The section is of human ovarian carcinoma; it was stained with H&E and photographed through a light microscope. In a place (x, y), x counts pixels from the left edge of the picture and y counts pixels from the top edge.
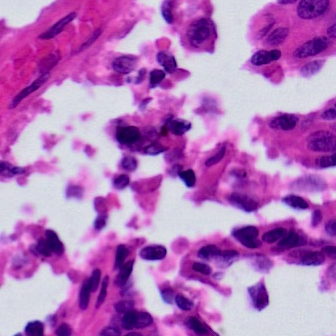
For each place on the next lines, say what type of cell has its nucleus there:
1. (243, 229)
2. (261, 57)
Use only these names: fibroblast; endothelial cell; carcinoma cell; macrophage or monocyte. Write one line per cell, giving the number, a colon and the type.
1: carcinoma cell
2: macrophage or monocyte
